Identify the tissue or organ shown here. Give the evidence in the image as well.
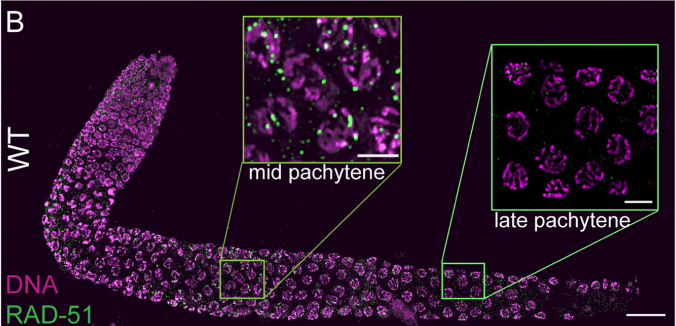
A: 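Gonads. A long tube packed with many round nuclei. The tube is bent near one end.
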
